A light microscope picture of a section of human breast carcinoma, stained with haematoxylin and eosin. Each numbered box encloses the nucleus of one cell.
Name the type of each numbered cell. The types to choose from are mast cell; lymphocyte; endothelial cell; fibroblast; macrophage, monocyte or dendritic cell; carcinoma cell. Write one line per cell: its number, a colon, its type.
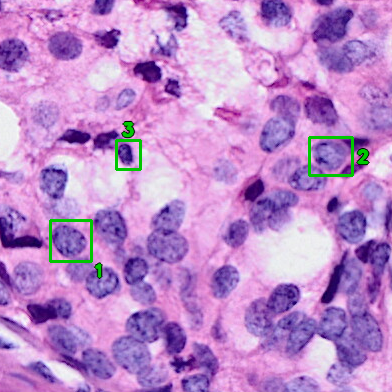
1: carcinoma cell
2: carcinoma cell
3: lymphocyte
